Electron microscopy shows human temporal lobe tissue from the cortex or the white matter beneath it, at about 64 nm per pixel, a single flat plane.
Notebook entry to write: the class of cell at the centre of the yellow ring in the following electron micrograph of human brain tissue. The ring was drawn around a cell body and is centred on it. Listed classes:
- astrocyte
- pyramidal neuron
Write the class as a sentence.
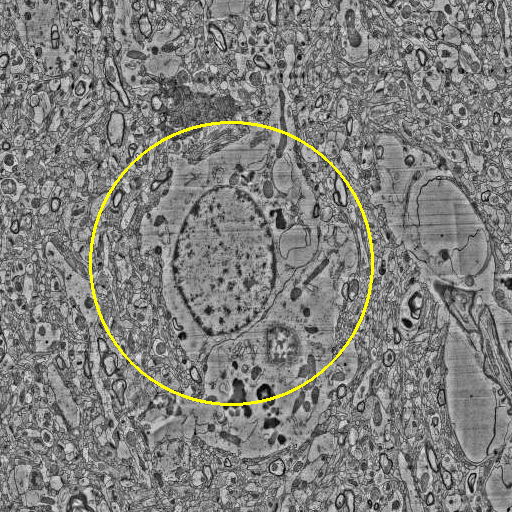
The yellow ring sits on an astrocyte.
